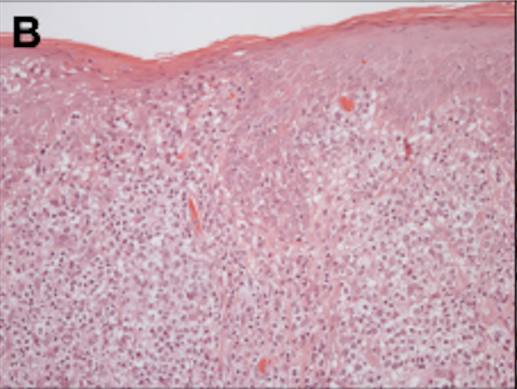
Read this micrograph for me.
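This is skin with a dense atypical infiltrate affecting both epidermis and dermis. Beneath a thin pink keratin layer, the epidermis is crowded with small round dark-nucleated cells, and below it the dermis is filled by a continuous sheet of these cells with little intervening collagen. A few small vessels with red blood cells are seen within the sheet. The normal clear boundary between epidermis and dermis is largely obscured by the infiltrate.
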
